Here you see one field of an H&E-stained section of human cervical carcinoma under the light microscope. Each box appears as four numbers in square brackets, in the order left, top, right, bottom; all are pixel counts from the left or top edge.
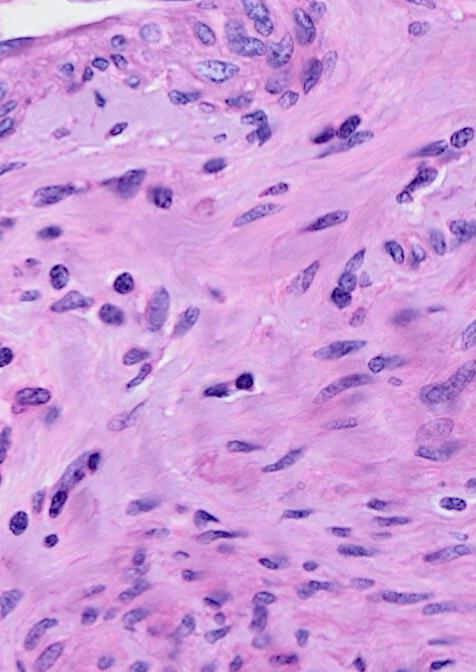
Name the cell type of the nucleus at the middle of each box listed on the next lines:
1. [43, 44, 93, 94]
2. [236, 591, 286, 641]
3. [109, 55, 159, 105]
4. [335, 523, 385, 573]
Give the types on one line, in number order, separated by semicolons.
smooth muscle cell; smooth muscle cell; smooth muscle cell; fibroblast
